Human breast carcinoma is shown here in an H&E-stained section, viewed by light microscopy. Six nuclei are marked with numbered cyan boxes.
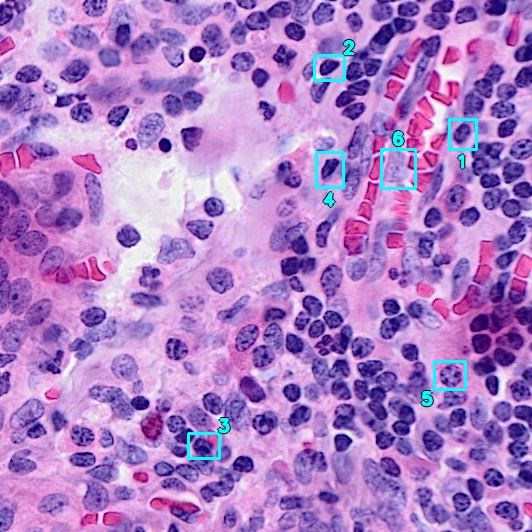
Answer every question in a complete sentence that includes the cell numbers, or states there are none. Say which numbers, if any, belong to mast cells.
Response: cell 5 is a mast cell, and no other numbered cell is.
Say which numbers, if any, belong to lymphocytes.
The cells which carry the numbers 1, 2, 3 and 4 are lymphocytes.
